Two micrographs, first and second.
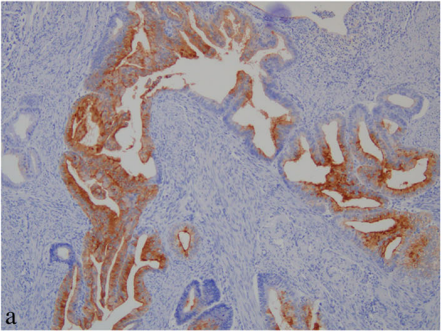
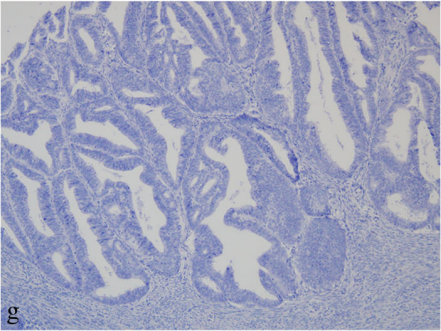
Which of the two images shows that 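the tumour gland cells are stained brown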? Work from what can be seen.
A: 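Second image: all glands and stroma are blue only, with no brown stain. First image: the epithelium of the large irregular gland is strongly brown, while stroma stays blue. On this evidence: the first image.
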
